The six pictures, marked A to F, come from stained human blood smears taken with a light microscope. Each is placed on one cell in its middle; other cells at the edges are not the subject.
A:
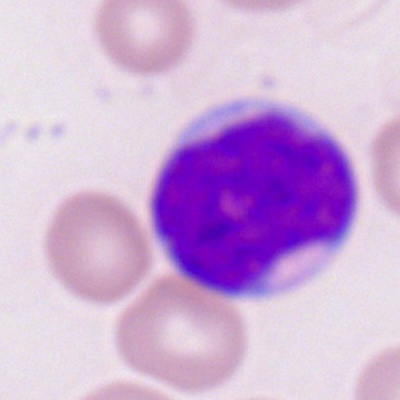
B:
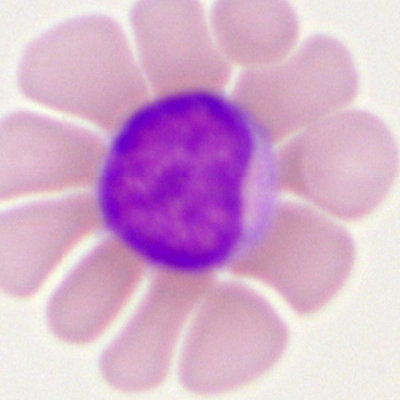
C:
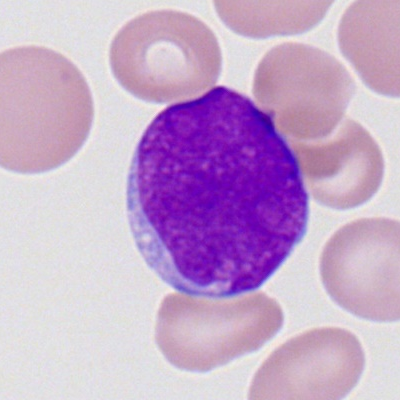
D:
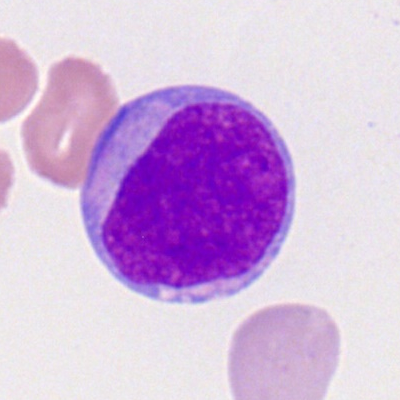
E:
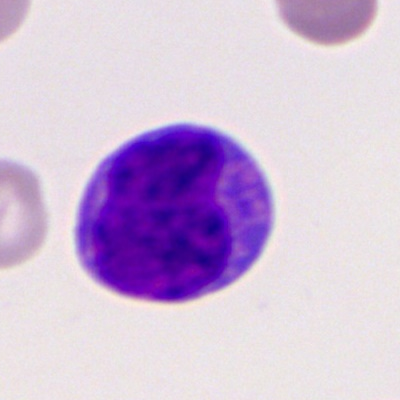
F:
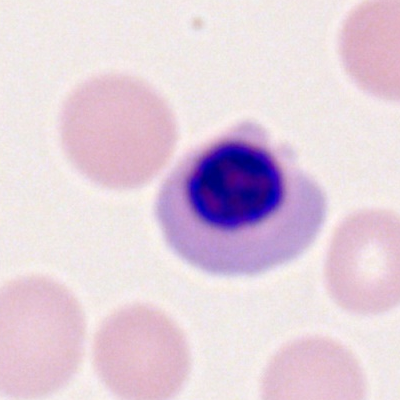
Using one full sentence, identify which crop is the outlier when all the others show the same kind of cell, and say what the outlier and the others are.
Crop F shows an erythroblast; by contrast, all the other crops show myeloblasts.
